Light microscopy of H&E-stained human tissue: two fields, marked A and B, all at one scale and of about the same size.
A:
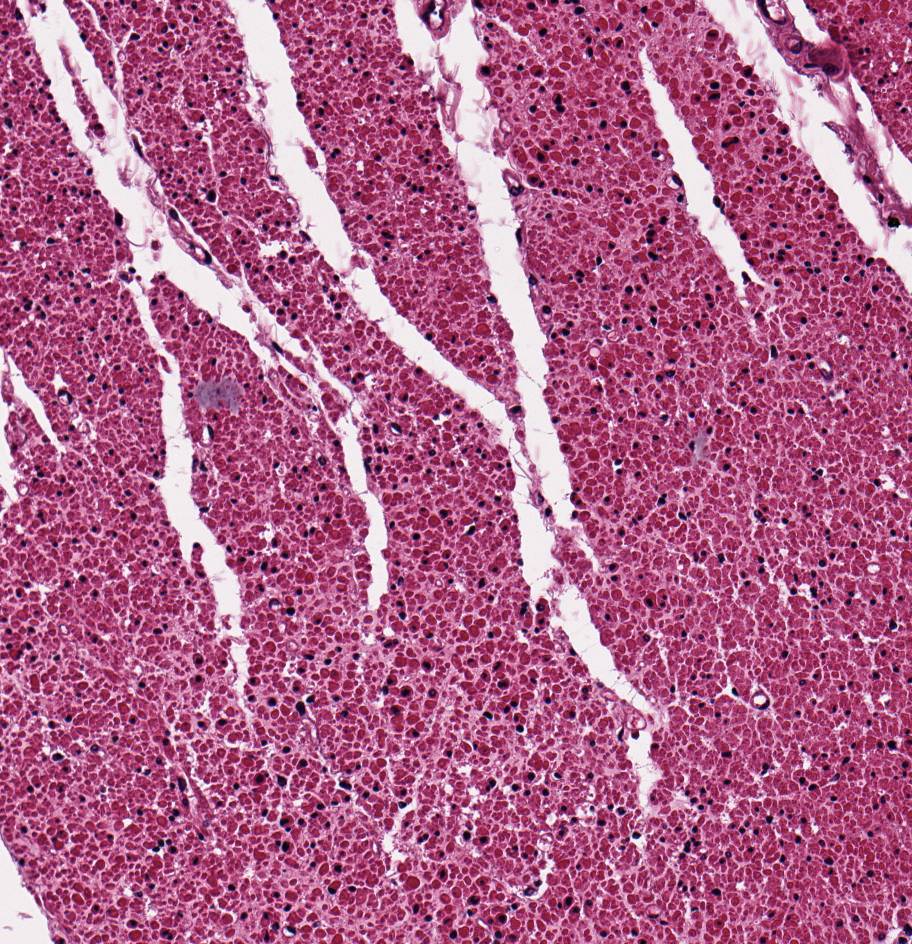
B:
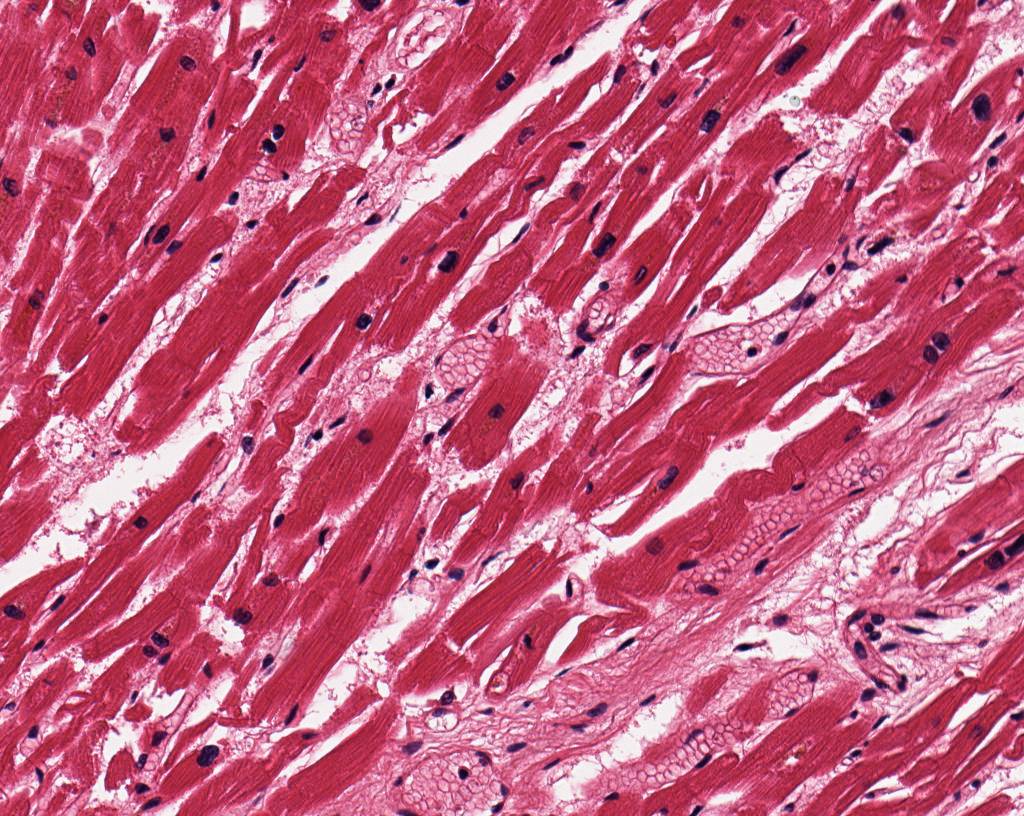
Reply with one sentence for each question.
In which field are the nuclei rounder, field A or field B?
Rounder nuclei lie in field A.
